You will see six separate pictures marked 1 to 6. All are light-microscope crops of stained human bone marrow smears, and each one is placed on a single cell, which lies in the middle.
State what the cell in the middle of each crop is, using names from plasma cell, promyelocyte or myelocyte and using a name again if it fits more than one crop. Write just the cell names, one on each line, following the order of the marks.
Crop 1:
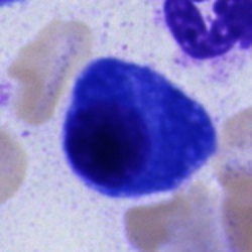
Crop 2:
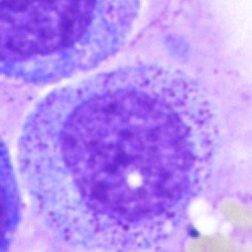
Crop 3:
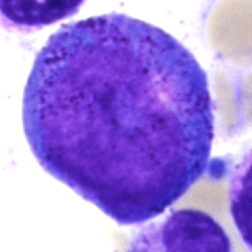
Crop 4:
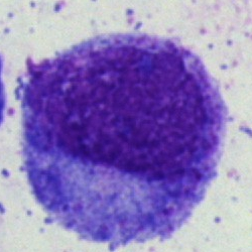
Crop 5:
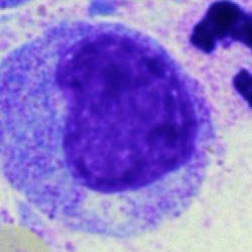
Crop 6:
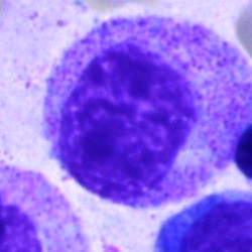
plasma cell
myelocyte
promyelocyte
promyelocyte
promyelocyte
myelocyte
